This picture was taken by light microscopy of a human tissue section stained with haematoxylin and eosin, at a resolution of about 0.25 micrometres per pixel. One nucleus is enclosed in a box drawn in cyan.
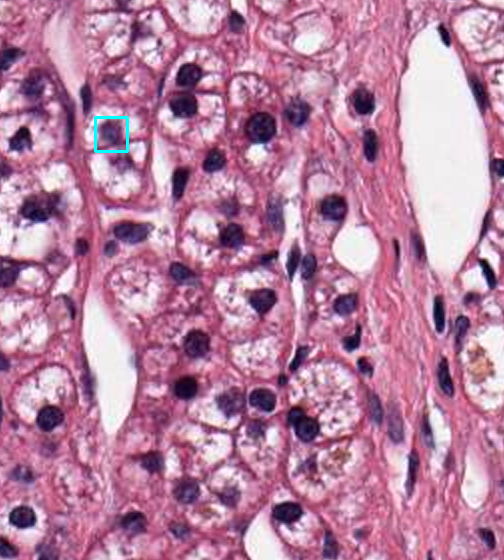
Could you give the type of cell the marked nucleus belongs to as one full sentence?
The marked nucleus is the nucleus of an adrenal cortical cell.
